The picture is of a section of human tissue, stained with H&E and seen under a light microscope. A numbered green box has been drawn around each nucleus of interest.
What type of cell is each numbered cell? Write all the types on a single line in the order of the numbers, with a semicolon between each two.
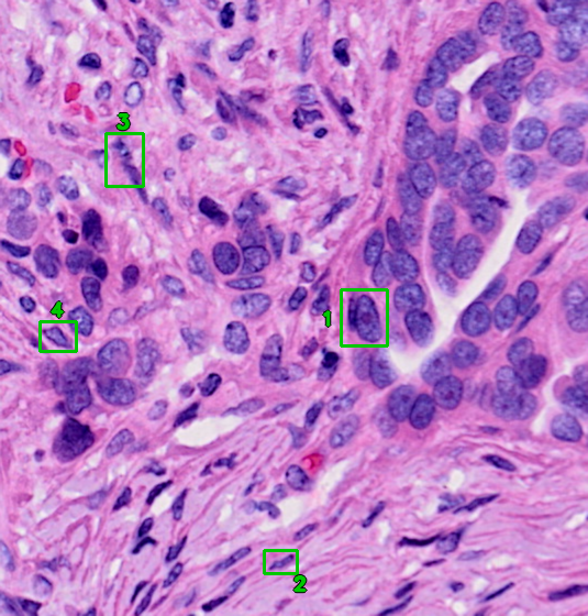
carcinoma cell; fibroblast; fibroblast; fibroblast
